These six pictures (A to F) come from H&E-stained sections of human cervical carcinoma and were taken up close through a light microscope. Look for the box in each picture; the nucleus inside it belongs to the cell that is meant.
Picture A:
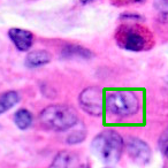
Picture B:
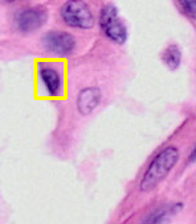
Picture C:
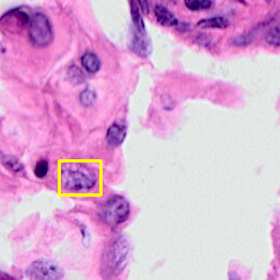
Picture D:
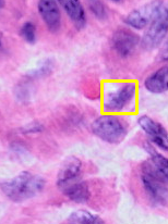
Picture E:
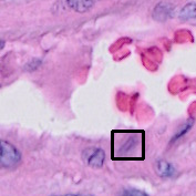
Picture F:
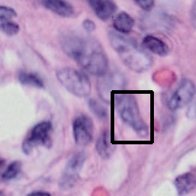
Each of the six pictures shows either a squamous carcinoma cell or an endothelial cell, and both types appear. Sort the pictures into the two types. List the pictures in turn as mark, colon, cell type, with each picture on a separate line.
A: endothelial cell
B: squamous carcinoma cell
C: squamous carcinoma cell
D: endothelial cell
E: endothelial cell
F: endothelial cell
